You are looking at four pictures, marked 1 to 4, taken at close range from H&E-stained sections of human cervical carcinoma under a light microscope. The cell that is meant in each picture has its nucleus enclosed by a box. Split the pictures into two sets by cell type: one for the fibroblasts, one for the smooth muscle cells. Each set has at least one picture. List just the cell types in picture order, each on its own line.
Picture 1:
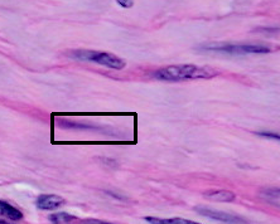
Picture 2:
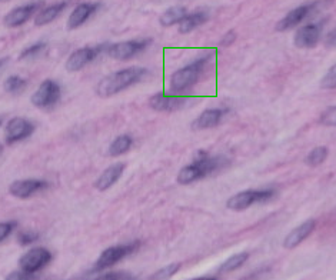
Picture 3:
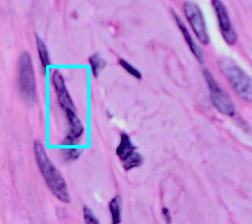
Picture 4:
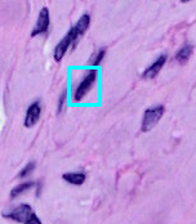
smooth muscle cell
smooth muscle cell
fibroblast
fibroblast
